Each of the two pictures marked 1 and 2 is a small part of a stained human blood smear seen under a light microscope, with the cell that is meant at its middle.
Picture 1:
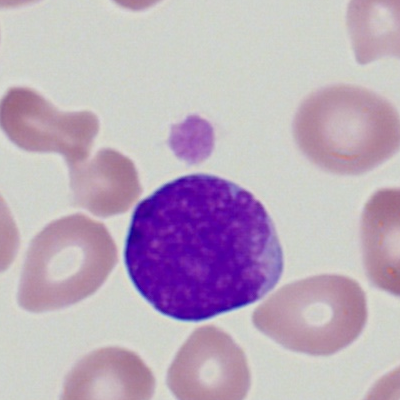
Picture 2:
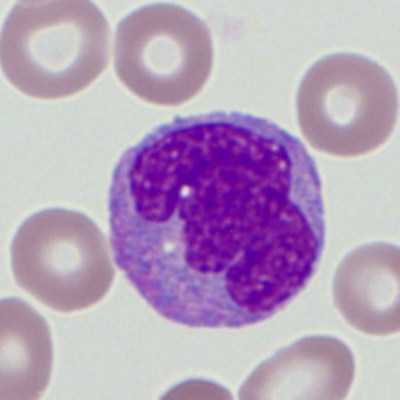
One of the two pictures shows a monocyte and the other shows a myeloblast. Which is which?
1: myeloblast
2: monocyte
